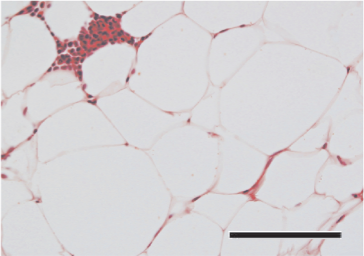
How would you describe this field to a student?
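White adipose tissue of large, irregularly polygonal adipocytes with clear, empty interiors and thin pink borders. At the upper left, between fat cells, lies a compact cluster of small, densely packed red and dark cells. Scattered flattened nuclei lie along the cell borders.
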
